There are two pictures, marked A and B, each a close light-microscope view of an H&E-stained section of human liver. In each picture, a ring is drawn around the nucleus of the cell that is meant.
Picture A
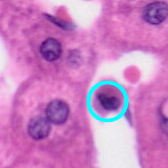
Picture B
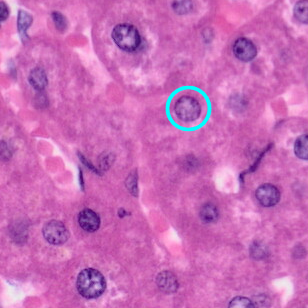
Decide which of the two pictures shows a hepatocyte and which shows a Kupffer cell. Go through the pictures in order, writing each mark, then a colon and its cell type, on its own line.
A: Kupffer cell
B: hepatocyte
